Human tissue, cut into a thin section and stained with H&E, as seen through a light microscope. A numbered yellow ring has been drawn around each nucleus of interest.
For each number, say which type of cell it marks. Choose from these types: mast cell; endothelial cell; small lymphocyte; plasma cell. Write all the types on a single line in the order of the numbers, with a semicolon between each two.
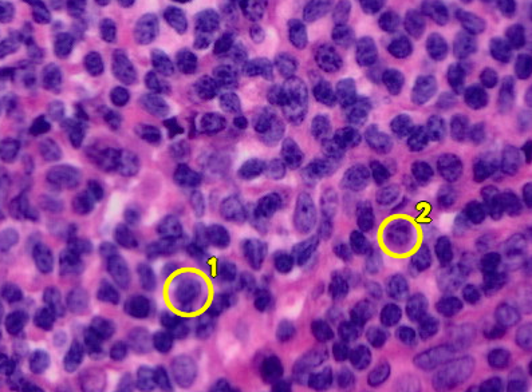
small lymphocyte; plasma cell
